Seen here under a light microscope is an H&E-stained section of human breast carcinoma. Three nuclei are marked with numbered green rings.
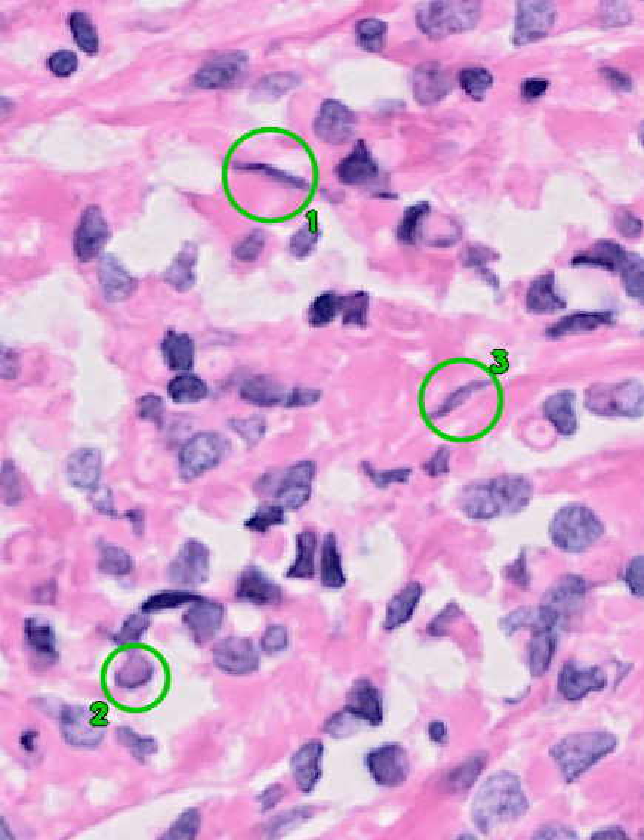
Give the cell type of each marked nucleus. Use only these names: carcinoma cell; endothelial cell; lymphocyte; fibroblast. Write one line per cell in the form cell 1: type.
cell 1: fibroblast
cell 2: carcinoma cell
cell 3: fibroblast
